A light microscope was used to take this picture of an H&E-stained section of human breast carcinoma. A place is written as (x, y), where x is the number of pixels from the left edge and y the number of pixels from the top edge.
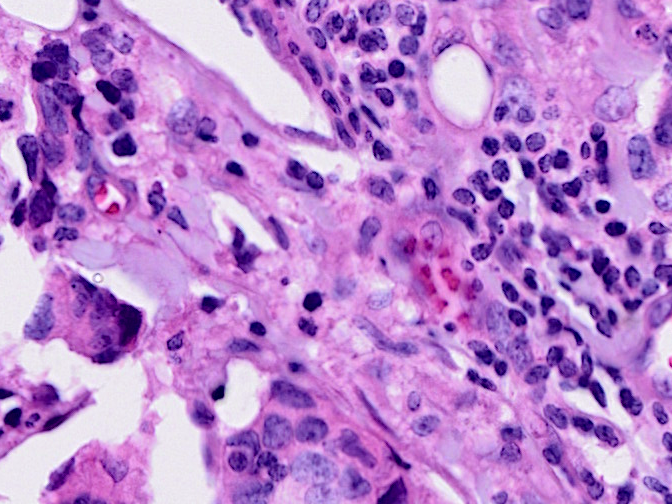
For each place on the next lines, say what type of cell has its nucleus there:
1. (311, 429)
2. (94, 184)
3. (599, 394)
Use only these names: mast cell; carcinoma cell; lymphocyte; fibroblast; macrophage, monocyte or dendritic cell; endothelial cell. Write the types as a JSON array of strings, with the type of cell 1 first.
["carcinoma cell", "endothelial cell", "lymphocyte"]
